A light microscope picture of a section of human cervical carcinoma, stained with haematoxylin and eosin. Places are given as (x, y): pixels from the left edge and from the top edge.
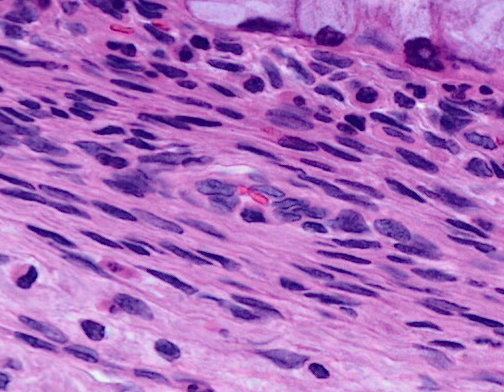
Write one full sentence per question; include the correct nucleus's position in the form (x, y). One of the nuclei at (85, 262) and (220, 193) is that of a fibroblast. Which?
Of the two nuclei, the nucleus of a fibroblast is at (85, 262).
